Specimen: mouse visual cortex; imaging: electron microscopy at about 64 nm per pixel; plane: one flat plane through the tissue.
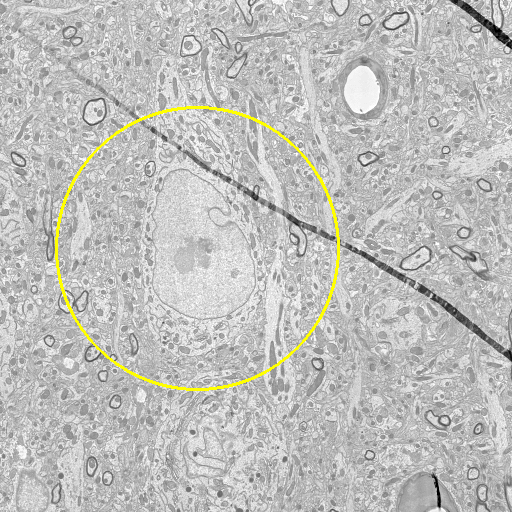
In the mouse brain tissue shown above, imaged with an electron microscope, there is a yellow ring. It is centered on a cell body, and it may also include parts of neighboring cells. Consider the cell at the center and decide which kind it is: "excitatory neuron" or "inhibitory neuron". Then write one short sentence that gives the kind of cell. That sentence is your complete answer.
This centered cell body is that of an inhibitory neuron.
